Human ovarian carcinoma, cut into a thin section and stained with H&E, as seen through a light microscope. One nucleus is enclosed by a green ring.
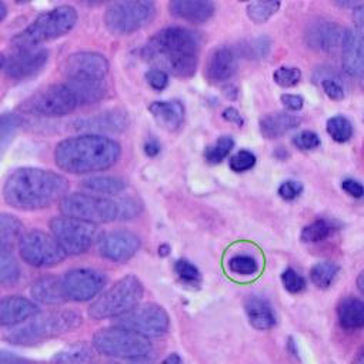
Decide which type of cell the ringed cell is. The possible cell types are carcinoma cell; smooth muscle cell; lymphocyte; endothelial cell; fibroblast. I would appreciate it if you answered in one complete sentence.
Just put down that the ringed cell is a lymphocyte.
